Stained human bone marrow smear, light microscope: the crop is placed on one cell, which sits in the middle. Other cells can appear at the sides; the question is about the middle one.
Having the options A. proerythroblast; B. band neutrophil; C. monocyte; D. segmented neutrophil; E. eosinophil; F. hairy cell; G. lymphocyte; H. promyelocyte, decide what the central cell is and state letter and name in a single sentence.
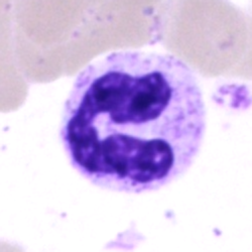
Since the middle cell is a segmented neutrophil, option D is the right one.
